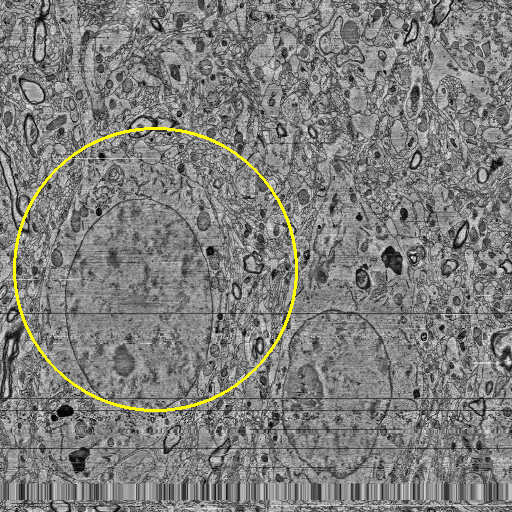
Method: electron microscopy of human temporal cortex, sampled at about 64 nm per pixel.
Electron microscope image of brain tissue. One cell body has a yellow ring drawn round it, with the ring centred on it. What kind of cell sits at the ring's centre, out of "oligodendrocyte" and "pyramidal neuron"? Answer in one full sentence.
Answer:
It is a pyramidal neuron whose cell body sits at the centre of the yellow ring.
